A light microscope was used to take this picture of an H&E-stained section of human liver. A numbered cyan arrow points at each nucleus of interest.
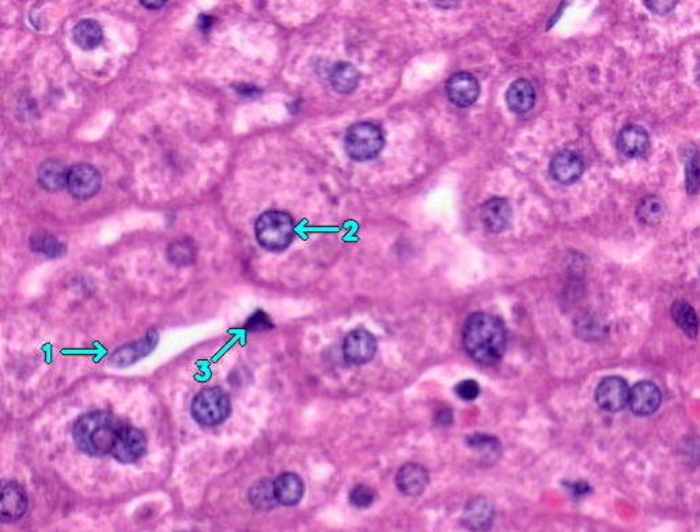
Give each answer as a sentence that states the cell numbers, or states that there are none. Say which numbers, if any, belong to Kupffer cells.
Only the cell with the number 1 is a Kupffer cell.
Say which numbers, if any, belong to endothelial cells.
Among all the marked cells, an endothelial cell is found only at number 3.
